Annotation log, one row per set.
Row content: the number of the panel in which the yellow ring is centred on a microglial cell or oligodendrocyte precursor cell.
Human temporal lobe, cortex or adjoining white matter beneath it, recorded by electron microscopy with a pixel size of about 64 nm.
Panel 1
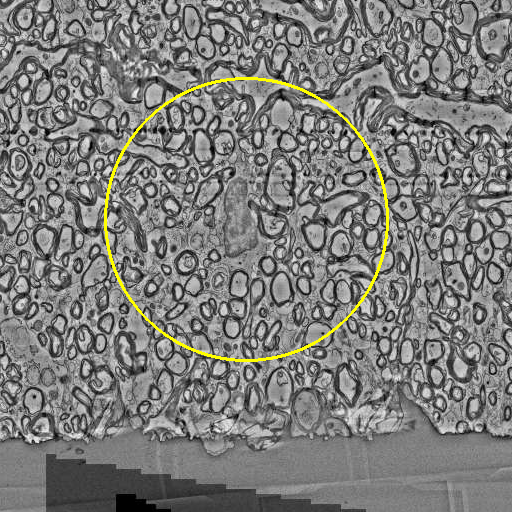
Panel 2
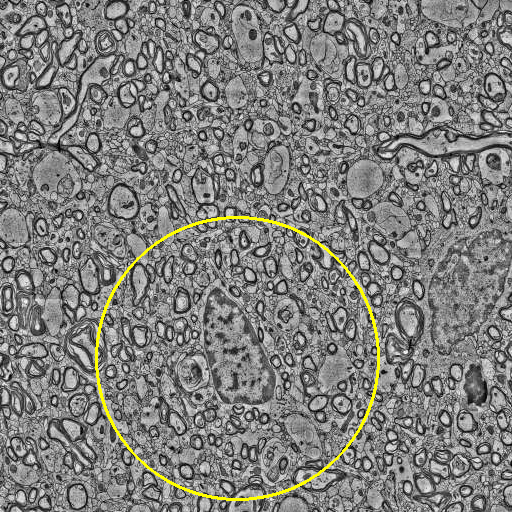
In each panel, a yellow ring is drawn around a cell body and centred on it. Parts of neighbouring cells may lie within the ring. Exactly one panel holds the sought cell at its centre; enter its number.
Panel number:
2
